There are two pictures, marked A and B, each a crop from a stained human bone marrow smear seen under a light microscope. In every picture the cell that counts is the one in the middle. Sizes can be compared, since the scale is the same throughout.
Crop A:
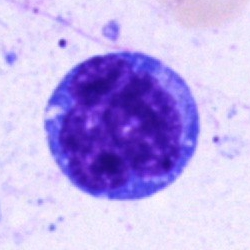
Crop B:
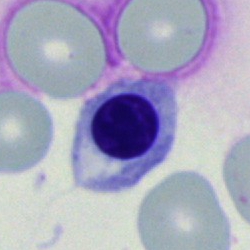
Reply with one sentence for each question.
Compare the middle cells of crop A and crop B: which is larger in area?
Crop A holds the larger cell; it covers about 2 times the area of the cell in crop B.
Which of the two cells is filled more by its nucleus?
It is the cell in crop A that is filled more by its nucleus.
